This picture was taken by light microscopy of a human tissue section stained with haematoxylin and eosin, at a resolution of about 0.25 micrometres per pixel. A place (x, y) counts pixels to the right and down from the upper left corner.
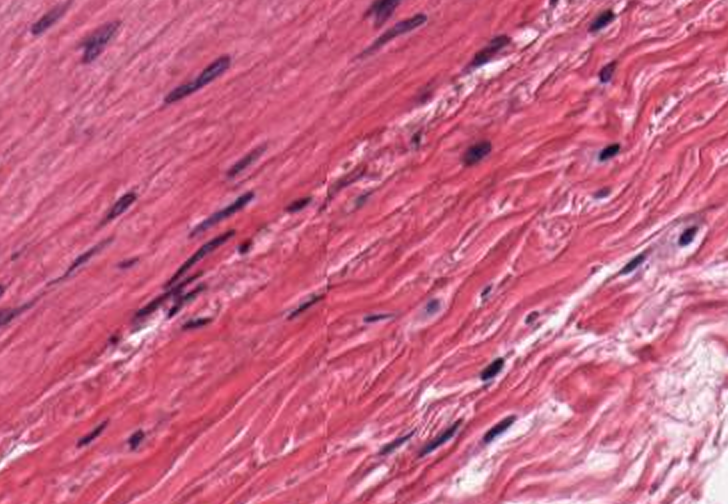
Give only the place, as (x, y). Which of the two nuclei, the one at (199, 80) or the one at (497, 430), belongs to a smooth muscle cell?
(199, 80)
